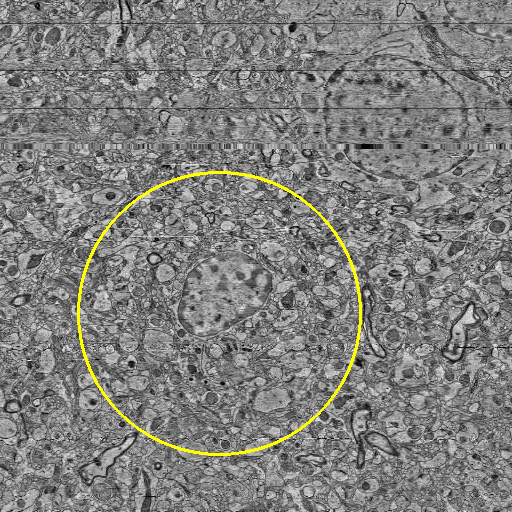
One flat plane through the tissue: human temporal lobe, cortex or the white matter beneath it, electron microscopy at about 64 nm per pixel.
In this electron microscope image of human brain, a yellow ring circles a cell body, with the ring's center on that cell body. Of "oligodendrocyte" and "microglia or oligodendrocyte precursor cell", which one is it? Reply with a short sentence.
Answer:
It is a microglial cell or oligodendrocyte precursor cell at the center of the ring.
